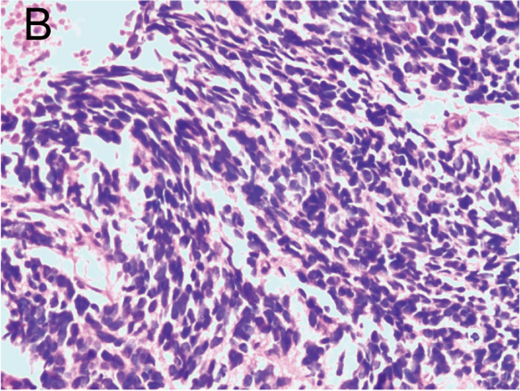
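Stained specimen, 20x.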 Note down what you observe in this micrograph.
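This shows a malignant tumour made of closely crowded, short spindle-shaped cells. The nuclei are elongated, oval to tapering, and dark purple, packed tightly so that they mould against one another, with very scant cytoplasm around them. The cells run in streaming, parallel bundles that curve across the field. Nucleoli are not evident. Thin strands of pale pink stroma and small clear spaces separate groups of cells. No glandular or organised normal tissue is seen; the whole field is occupied by this sheet of small, crowded tumour cells.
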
